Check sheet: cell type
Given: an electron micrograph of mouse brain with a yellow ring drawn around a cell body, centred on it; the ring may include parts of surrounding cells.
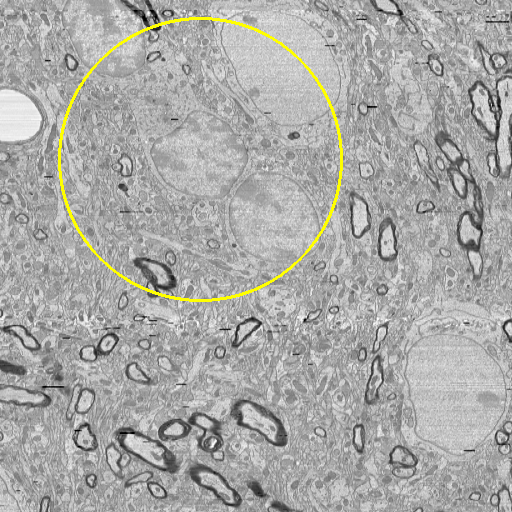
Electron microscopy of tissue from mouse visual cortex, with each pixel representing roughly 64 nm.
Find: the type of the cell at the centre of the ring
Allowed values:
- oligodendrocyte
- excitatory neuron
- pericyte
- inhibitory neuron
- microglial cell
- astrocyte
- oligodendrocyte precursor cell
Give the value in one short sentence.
Here the ringed cell is an oligodendrocyte.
